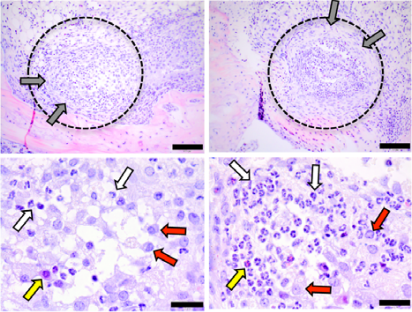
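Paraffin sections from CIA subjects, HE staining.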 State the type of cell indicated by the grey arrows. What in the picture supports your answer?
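The grey arrows point to the rim of the circled cluster. Cells at the rim are elongated with spindle-shaped nuclei. On this evidence: fibroblast like cells.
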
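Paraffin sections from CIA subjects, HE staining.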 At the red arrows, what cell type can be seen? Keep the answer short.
Macrophages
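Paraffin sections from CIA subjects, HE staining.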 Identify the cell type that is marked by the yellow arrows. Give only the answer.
Eosinophil granulocytes.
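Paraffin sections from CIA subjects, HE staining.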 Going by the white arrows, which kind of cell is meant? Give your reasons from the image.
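Neutrophil granulocytes. The marked cells have segmented, lobed dark nuclei.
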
